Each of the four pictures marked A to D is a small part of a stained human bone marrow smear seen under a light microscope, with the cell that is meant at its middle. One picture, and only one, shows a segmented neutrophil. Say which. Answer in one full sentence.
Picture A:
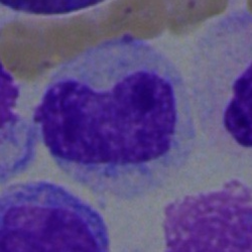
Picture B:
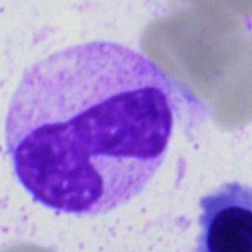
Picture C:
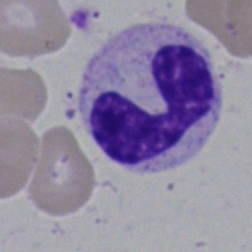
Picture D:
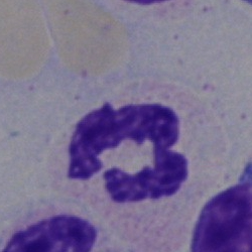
The picture with the segmented neutrophil is D.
